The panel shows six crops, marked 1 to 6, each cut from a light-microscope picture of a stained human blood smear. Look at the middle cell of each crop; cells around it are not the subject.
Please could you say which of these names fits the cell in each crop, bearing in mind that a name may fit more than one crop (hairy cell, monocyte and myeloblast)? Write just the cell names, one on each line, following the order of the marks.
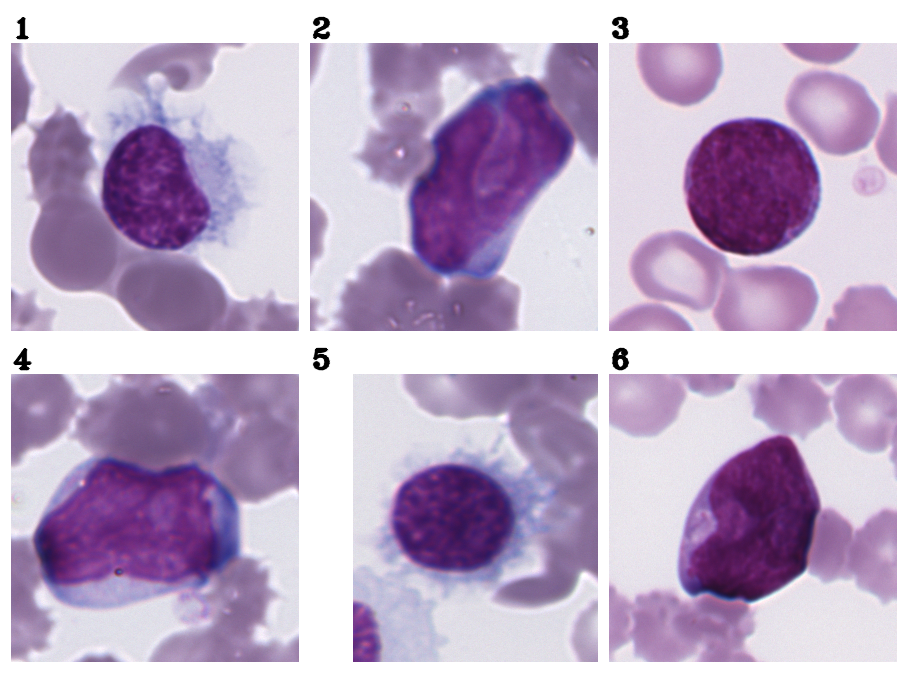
hairy cell
myeloblast
myeloblast
myeloblast
hairy cell
myeloblast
